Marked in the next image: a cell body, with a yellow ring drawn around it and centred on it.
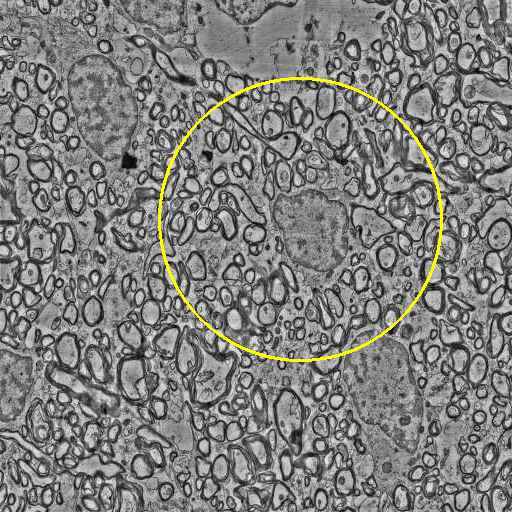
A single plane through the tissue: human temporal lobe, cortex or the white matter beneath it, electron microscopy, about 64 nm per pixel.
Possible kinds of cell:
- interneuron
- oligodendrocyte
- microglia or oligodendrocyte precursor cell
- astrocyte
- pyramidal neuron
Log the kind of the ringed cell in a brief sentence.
The ringed cell body is that of an oligodendrocyte.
